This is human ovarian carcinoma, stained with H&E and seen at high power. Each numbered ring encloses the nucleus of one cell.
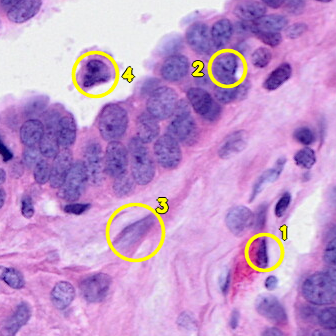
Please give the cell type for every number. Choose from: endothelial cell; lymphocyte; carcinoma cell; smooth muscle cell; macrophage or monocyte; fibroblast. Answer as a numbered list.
1. endothelial cell
2. carcinoma cell
3. fibroblast
4. macrophage or monocyte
